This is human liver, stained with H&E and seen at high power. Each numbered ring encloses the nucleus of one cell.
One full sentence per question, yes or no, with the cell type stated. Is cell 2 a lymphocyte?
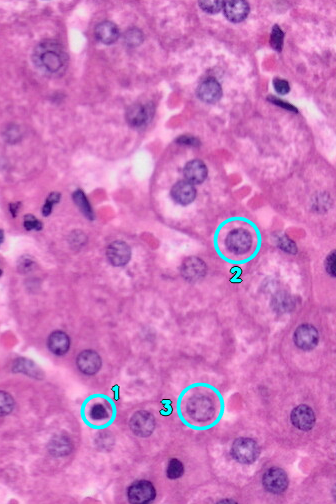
No, not a lymphocyte: the cell with number 2 is a hepatocyte.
